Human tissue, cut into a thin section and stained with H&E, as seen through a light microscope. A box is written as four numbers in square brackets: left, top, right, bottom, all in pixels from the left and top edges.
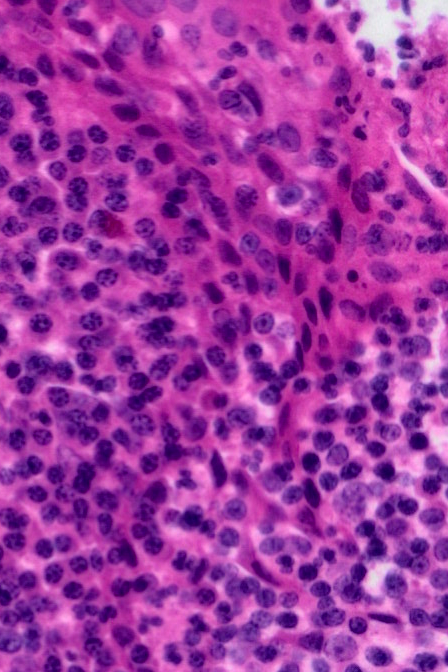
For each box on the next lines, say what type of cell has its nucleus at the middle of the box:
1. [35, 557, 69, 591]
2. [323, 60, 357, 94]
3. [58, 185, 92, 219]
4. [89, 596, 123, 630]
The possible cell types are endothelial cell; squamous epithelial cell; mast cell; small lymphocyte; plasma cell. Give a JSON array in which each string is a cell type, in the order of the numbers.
["plasma cell", "squamous epithelial cell", "plasma cell", "plasma cell"]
